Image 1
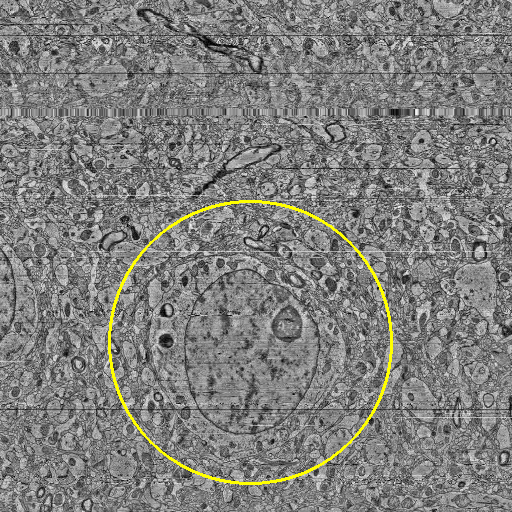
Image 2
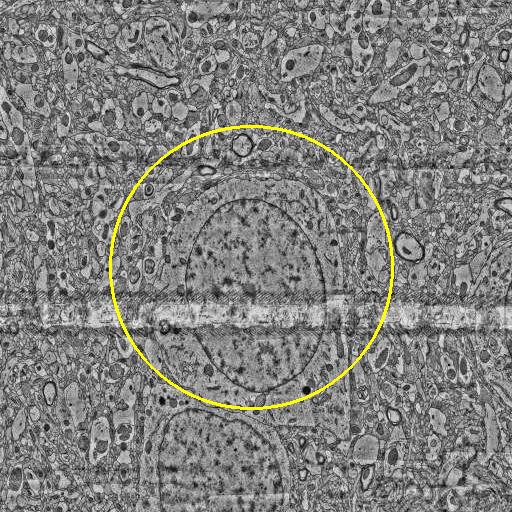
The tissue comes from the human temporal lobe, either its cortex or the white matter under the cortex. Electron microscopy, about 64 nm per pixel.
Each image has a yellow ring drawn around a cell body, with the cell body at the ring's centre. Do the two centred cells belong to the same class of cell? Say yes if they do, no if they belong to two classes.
yes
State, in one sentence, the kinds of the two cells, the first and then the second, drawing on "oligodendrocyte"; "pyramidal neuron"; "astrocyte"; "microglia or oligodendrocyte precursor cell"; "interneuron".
The first and the second cell are each a pyramidal neuron.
